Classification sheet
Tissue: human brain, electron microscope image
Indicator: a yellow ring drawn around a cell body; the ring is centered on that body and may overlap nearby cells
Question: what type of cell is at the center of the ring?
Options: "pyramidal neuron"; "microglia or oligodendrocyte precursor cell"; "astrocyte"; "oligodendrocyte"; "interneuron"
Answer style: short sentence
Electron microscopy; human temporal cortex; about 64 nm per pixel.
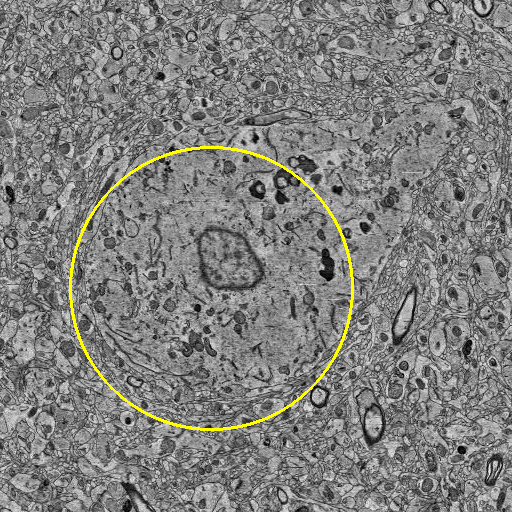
At the ring's center is a pyramidal neuron.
